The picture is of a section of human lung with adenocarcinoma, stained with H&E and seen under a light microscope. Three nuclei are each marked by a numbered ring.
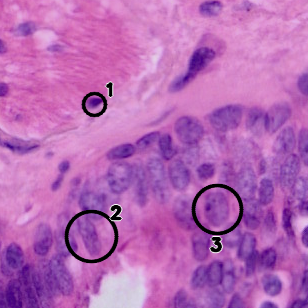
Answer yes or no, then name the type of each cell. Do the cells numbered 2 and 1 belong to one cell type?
No, mate, cell 2 is a ciliated epithelial cell and cell 1 is a smooth muscle cell or pericyte.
